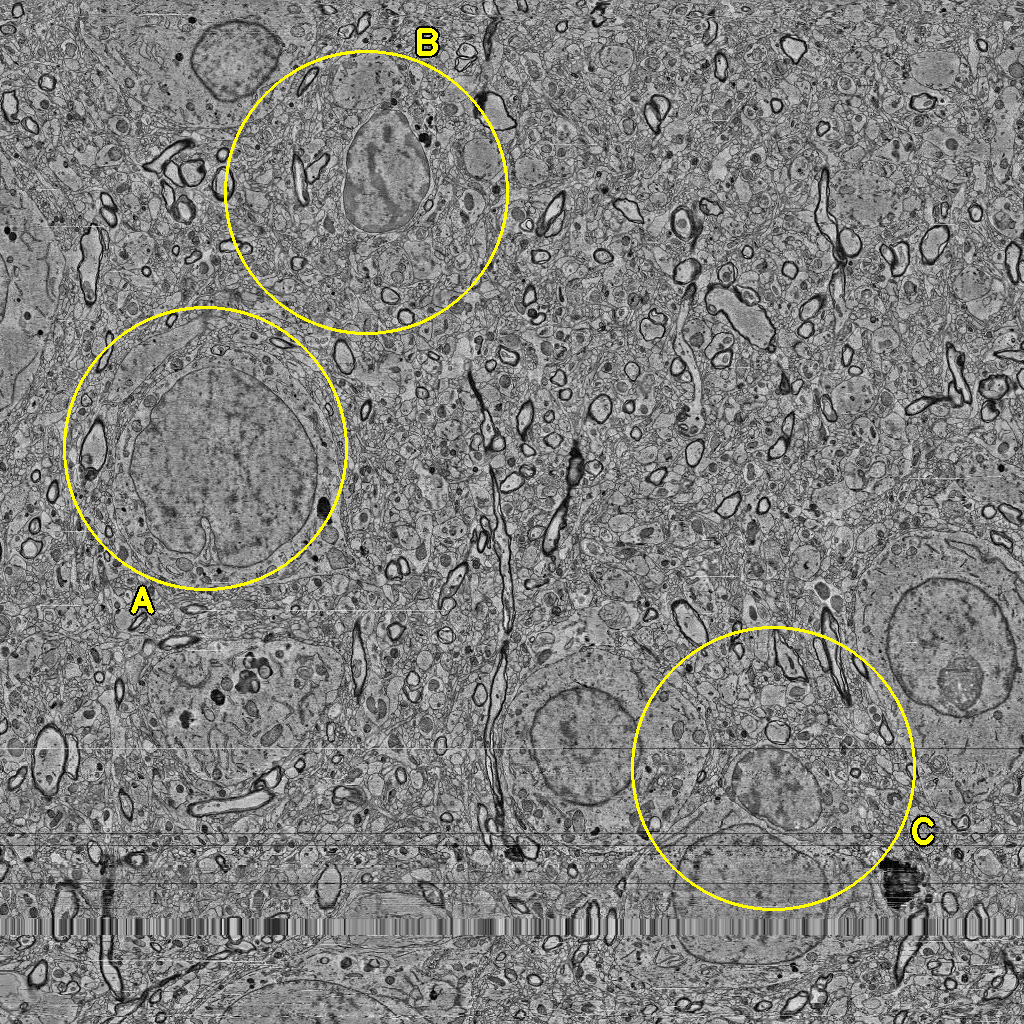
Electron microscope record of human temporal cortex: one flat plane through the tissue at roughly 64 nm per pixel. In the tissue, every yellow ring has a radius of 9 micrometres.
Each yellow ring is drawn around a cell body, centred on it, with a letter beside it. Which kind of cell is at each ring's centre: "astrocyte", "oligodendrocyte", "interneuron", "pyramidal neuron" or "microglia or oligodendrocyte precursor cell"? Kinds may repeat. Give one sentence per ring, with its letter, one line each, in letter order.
Ring A is centred on a pyramidal neuron.
Ring B is centred on a microglial cell or oligodendrocyte precursor cell.
Ring C is centred on an oligodendrocyte.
